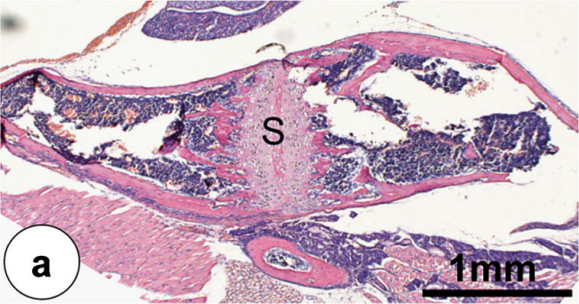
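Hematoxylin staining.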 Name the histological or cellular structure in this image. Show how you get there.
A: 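Thin pink bone cortex surrounds wide spaces. The spaces are filled with densely purple marrow cells.
Large bone marrow cavities.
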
